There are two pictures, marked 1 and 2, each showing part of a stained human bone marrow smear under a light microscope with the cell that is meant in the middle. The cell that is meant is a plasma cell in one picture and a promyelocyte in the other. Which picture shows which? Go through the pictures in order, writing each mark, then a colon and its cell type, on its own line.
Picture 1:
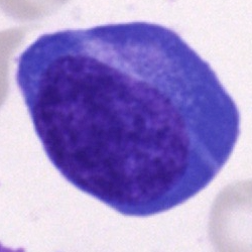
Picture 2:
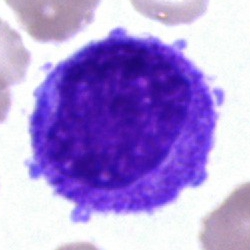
1: plasma cell
2: promyelocyte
